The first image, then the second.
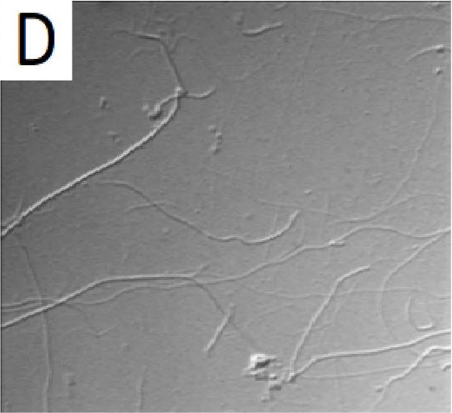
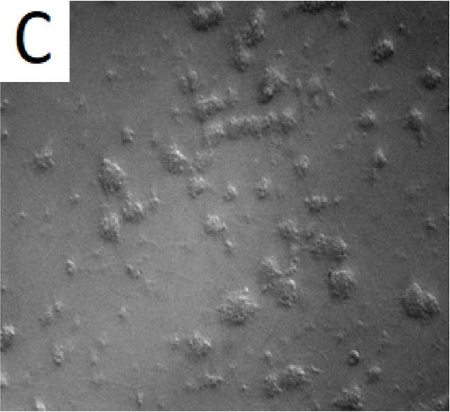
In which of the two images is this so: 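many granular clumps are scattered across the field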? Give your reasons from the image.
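First image: mostly long thin fibers with only one or two small clumps. Second image: dozens of irregular granular clumps spread across the field. That points to this answer: the second image.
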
